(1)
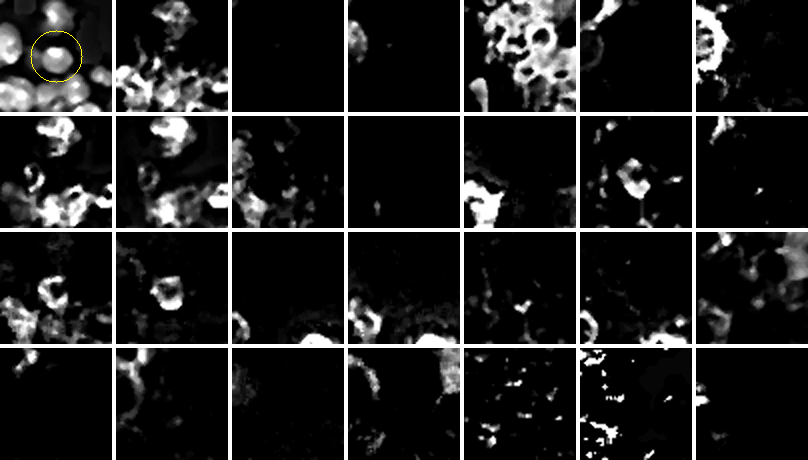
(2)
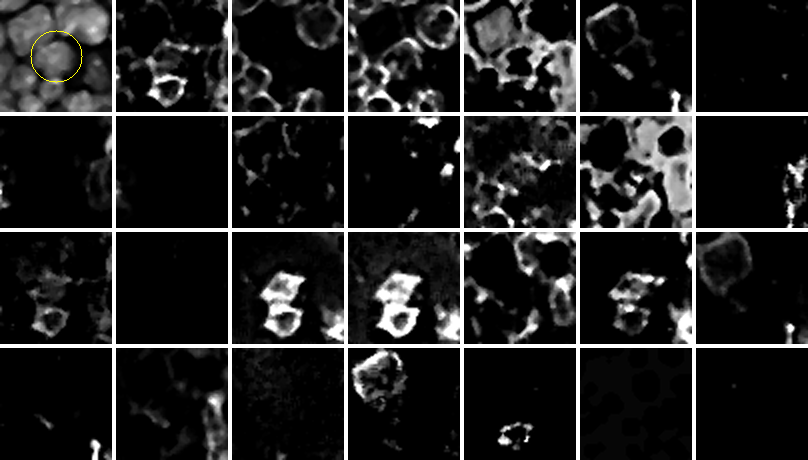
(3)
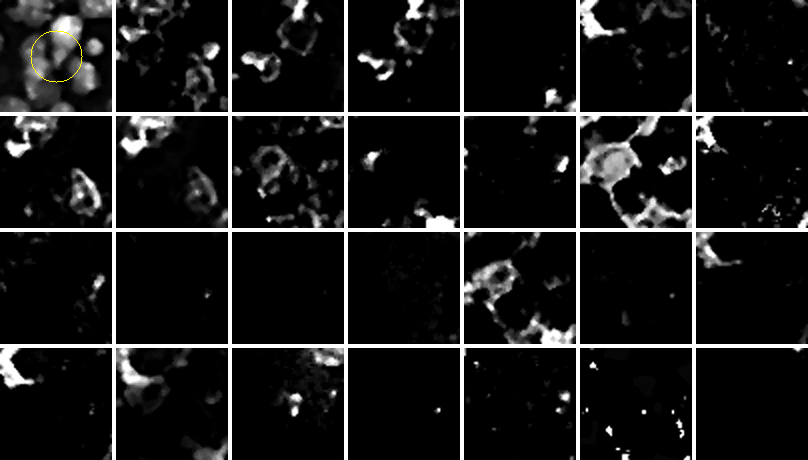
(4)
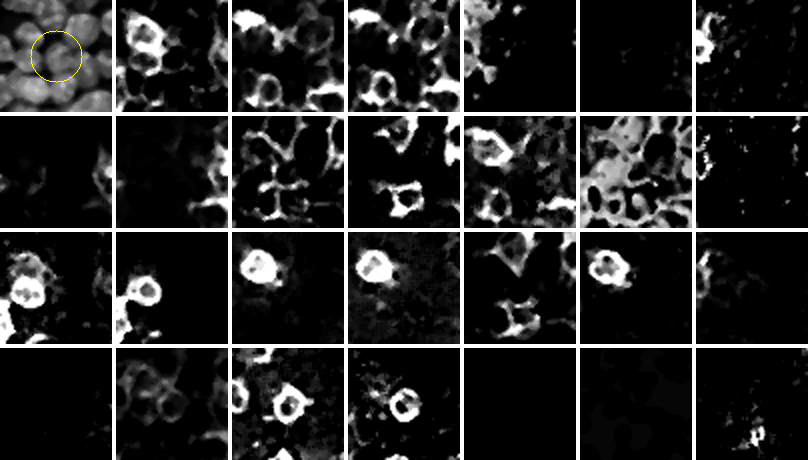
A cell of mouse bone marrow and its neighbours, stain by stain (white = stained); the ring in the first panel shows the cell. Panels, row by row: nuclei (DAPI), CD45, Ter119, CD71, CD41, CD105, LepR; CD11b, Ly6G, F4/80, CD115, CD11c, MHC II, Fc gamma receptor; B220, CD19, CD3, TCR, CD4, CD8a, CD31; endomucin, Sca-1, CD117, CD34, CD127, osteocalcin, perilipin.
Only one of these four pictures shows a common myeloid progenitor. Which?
Picture 4.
